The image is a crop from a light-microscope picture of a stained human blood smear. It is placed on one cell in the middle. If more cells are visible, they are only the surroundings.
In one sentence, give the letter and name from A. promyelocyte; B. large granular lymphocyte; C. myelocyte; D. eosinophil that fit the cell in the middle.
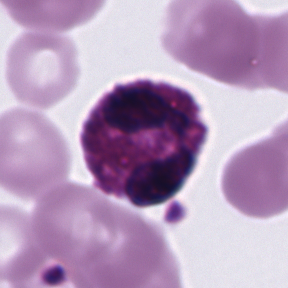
That middle cell is an eosinophil, and option D is therefore correct.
